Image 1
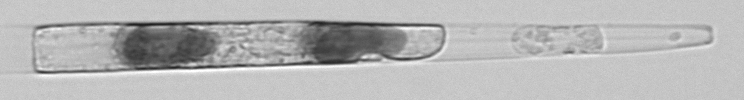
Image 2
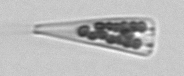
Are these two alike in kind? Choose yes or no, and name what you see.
Yes. Licmophora.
